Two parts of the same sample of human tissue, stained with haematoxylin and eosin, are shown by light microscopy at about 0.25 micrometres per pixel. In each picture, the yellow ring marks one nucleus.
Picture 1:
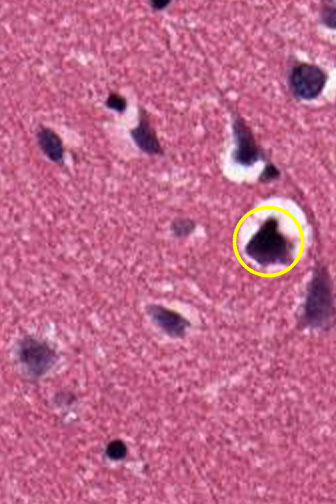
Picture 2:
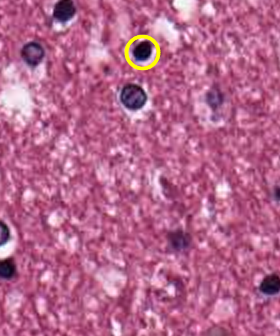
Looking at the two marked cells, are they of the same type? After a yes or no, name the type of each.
No, the first is a neuron and the second an oligodendrocyte.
